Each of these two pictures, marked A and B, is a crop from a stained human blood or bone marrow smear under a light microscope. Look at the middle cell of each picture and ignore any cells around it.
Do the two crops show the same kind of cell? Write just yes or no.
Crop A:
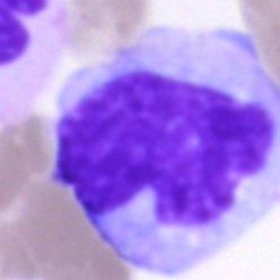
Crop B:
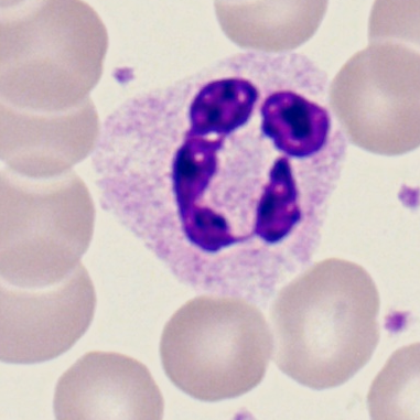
no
